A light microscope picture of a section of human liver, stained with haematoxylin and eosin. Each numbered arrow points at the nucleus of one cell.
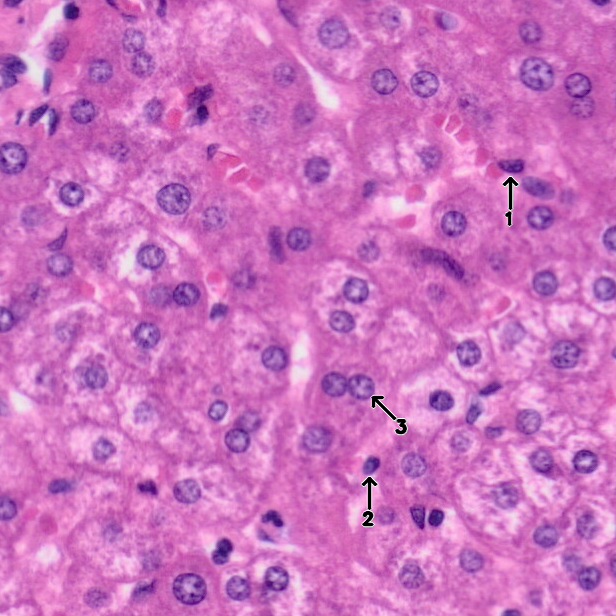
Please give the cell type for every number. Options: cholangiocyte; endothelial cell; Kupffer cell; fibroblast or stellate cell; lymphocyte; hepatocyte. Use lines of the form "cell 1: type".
cell 1: fibroblast or stellate cell
cell 2: lymphocyte
cell 3: hepatocyte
